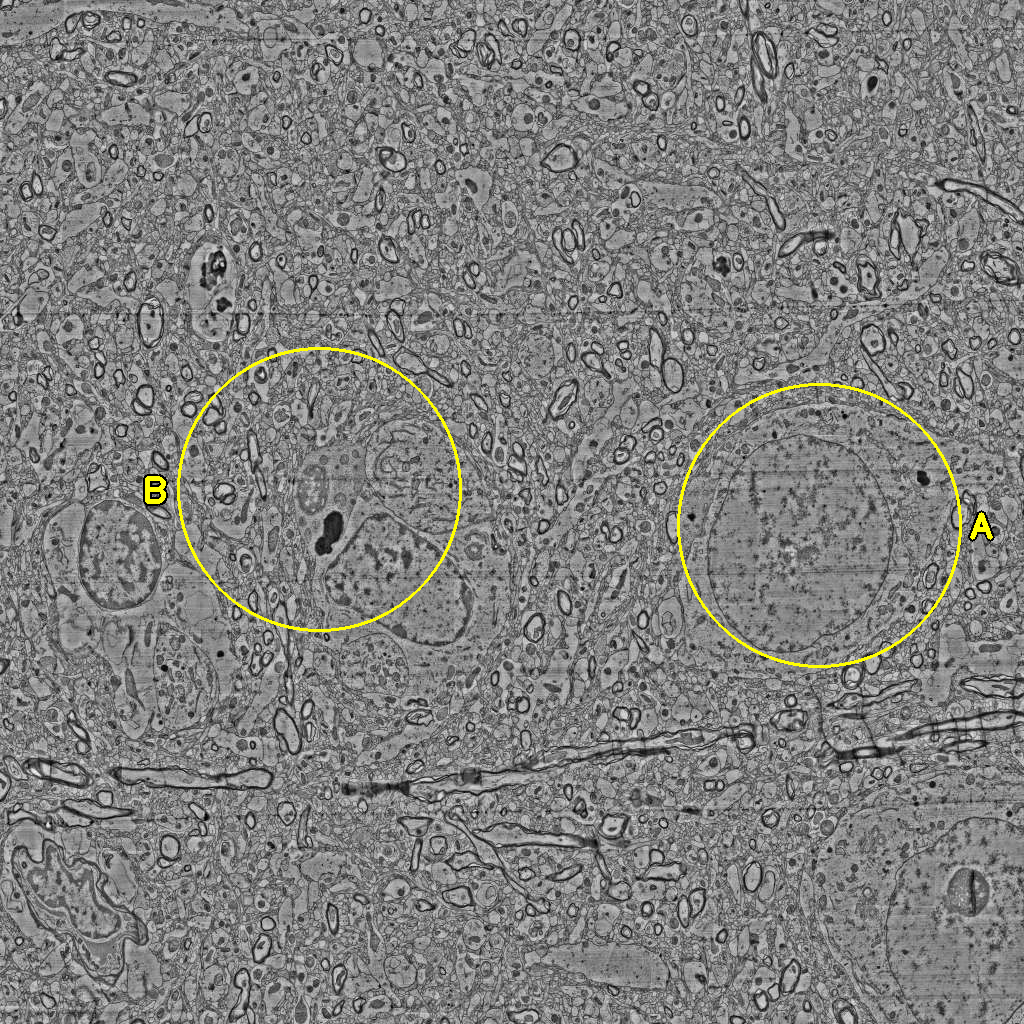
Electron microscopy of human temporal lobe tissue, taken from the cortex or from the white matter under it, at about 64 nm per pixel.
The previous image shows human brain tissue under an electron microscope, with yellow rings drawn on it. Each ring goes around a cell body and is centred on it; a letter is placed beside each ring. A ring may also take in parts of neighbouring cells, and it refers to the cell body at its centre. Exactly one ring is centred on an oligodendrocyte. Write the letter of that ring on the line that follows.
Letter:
B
